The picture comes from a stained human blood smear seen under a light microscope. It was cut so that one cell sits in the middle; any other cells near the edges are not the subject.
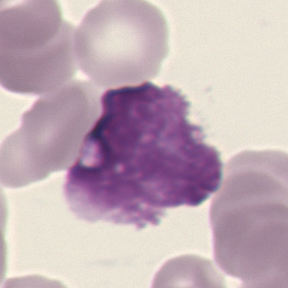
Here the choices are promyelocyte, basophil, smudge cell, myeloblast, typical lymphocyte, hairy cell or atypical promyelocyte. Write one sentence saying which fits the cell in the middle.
The cell around which this crop is centred is a smudge cell.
